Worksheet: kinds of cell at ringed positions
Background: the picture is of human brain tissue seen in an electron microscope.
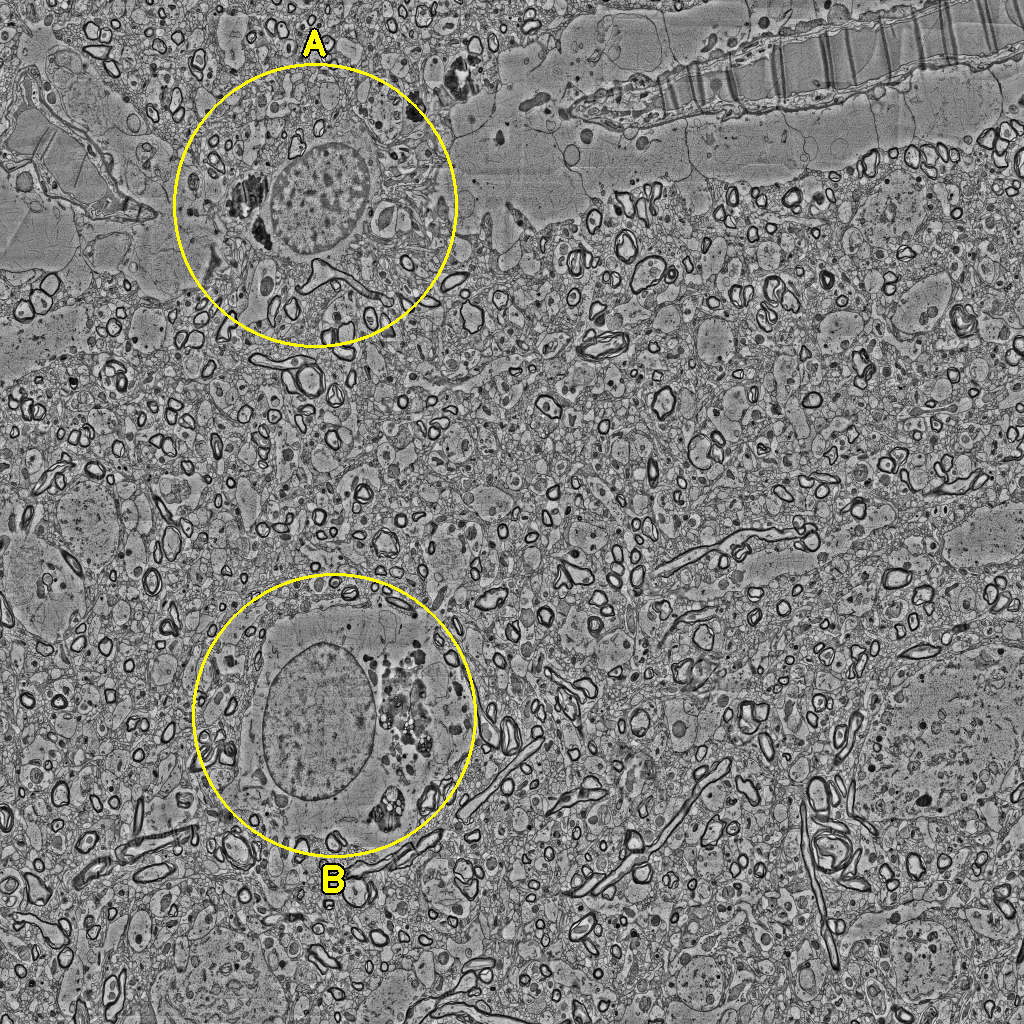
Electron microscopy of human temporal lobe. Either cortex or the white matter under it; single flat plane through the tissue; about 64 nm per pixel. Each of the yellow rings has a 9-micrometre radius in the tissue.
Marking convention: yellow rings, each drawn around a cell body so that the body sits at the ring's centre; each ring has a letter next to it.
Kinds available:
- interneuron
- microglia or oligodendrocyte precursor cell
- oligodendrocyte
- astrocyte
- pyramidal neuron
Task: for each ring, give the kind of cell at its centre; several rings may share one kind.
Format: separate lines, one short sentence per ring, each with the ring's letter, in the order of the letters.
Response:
Ring A is drawn around an oligodendrocyte.
Ring B is drawn around an astrocyte.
